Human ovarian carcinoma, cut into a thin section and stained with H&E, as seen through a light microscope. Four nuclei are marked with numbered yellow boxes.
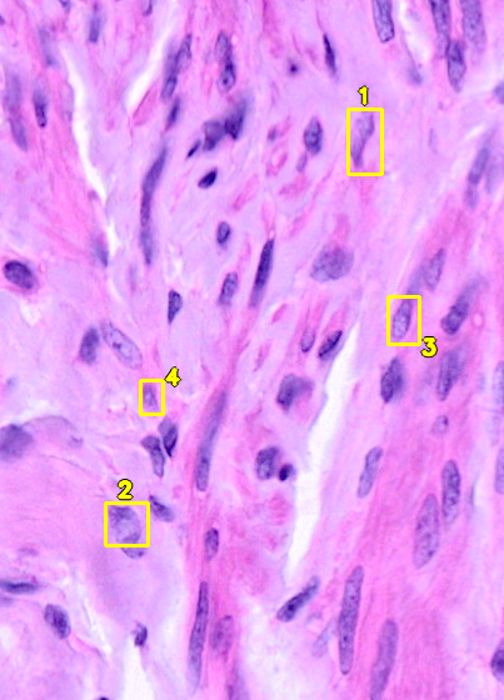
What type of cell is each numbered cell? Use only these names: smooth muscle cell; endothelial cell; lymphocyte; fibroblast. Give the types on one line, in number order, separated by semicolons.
smooth muscle cell; fibroblast; smooth muscle cell; smooth muscle cell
